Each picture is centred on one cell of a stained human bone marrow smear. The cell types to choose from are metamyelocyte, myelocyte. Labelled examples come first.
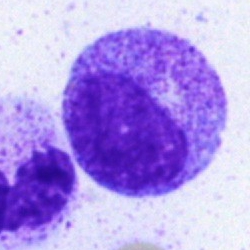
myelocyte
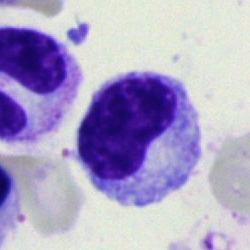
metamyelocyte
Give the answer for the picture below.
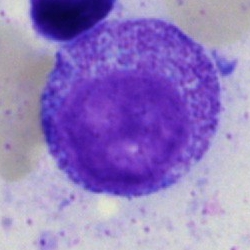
myelocyte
